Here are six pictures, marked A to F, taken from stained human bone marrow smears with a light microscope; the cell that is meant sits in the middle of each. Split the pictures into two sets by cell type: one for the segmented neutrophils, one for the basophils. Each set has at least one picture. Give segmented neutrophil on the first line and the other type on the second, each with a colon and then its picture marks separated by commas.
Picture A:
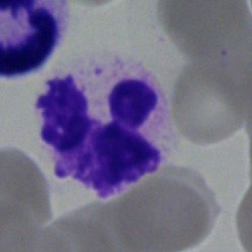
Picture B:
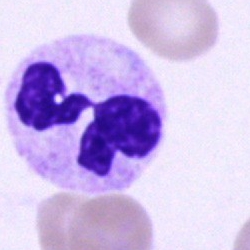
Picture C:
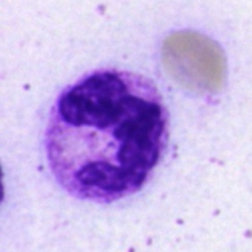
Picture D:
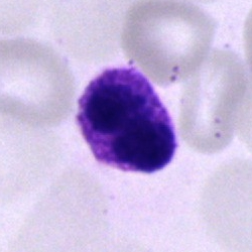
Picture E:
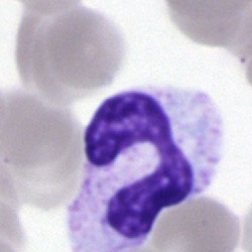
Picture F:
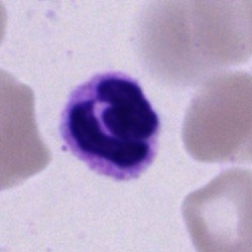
segmented neutrophil: B, C, E, F
basophil: A, D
